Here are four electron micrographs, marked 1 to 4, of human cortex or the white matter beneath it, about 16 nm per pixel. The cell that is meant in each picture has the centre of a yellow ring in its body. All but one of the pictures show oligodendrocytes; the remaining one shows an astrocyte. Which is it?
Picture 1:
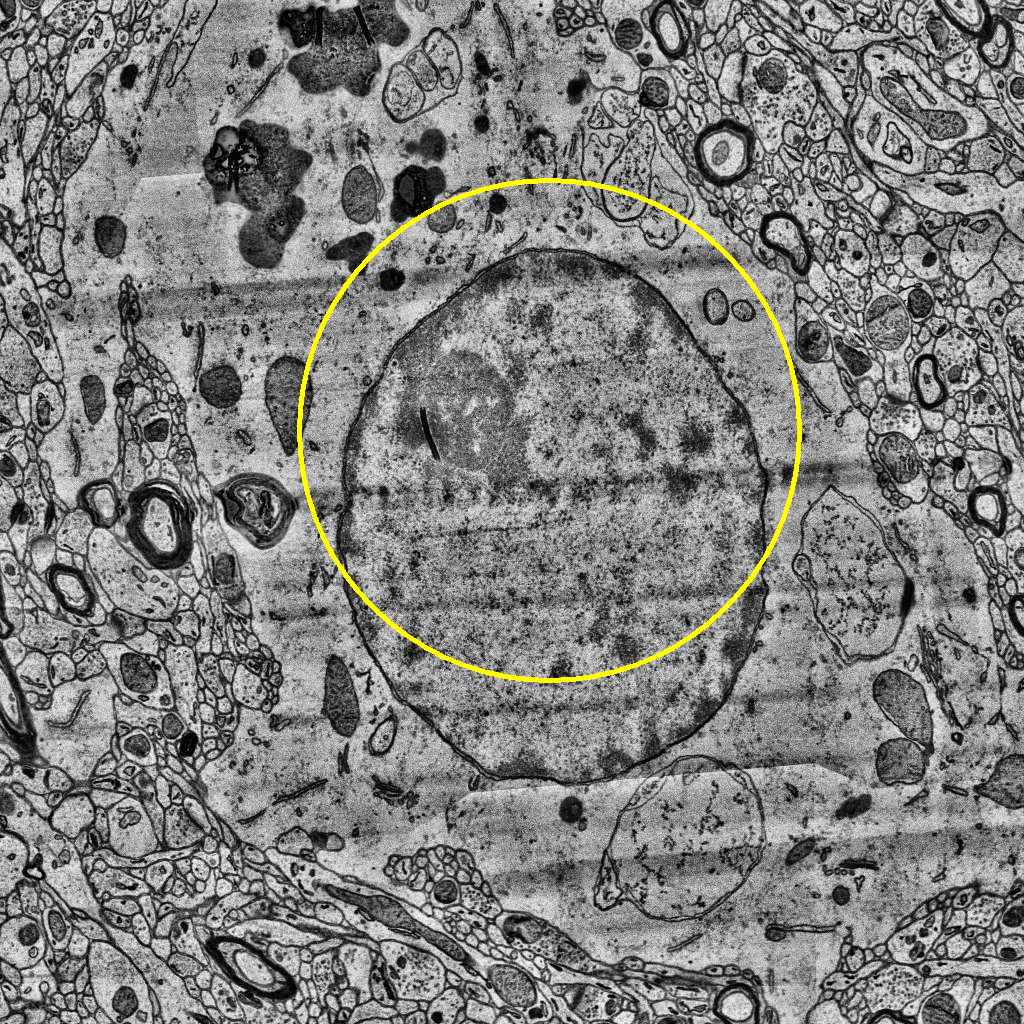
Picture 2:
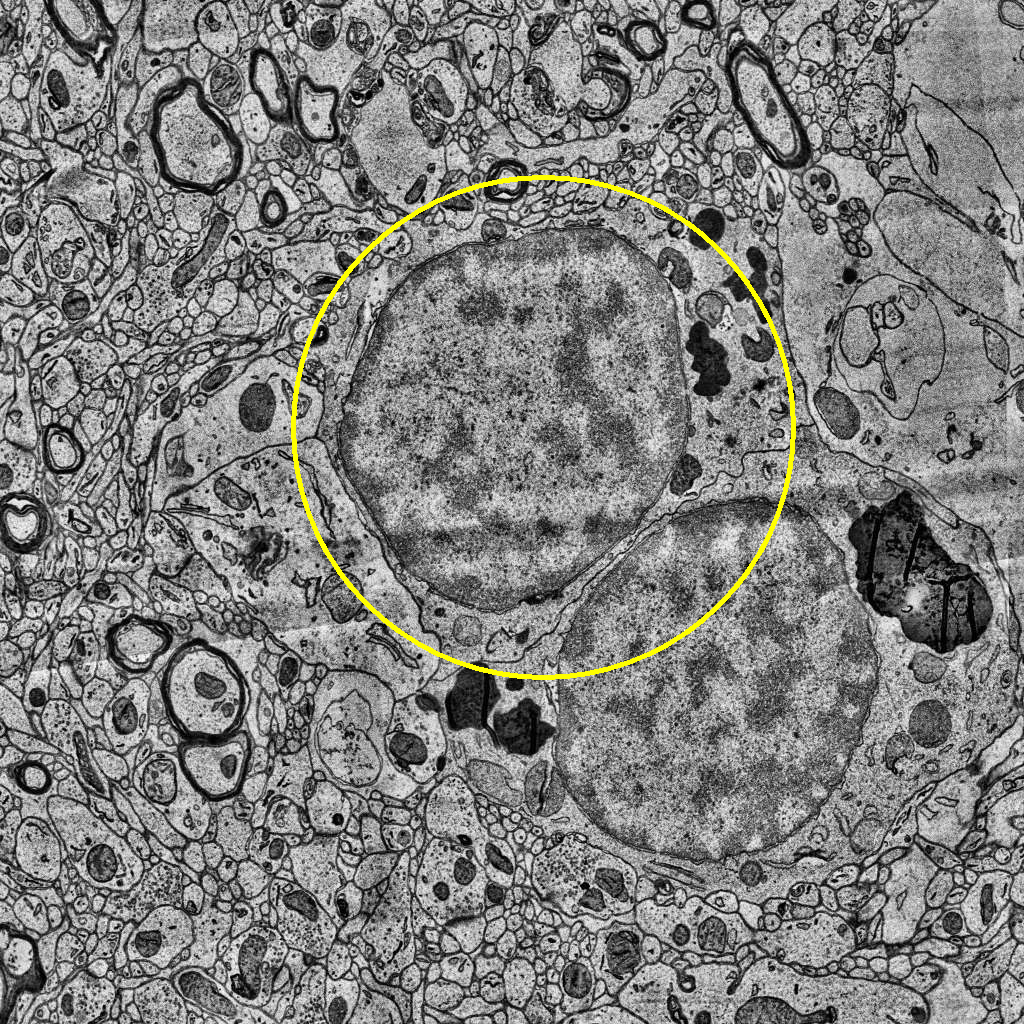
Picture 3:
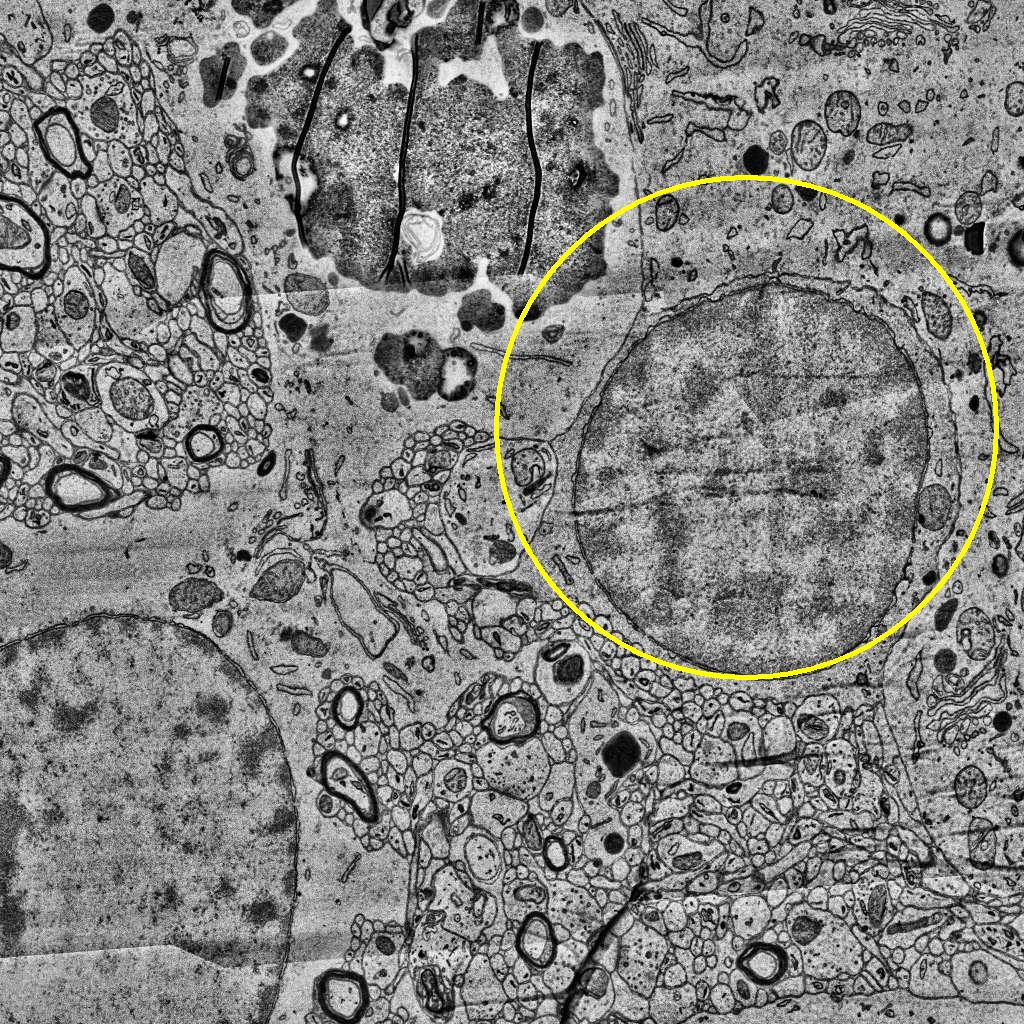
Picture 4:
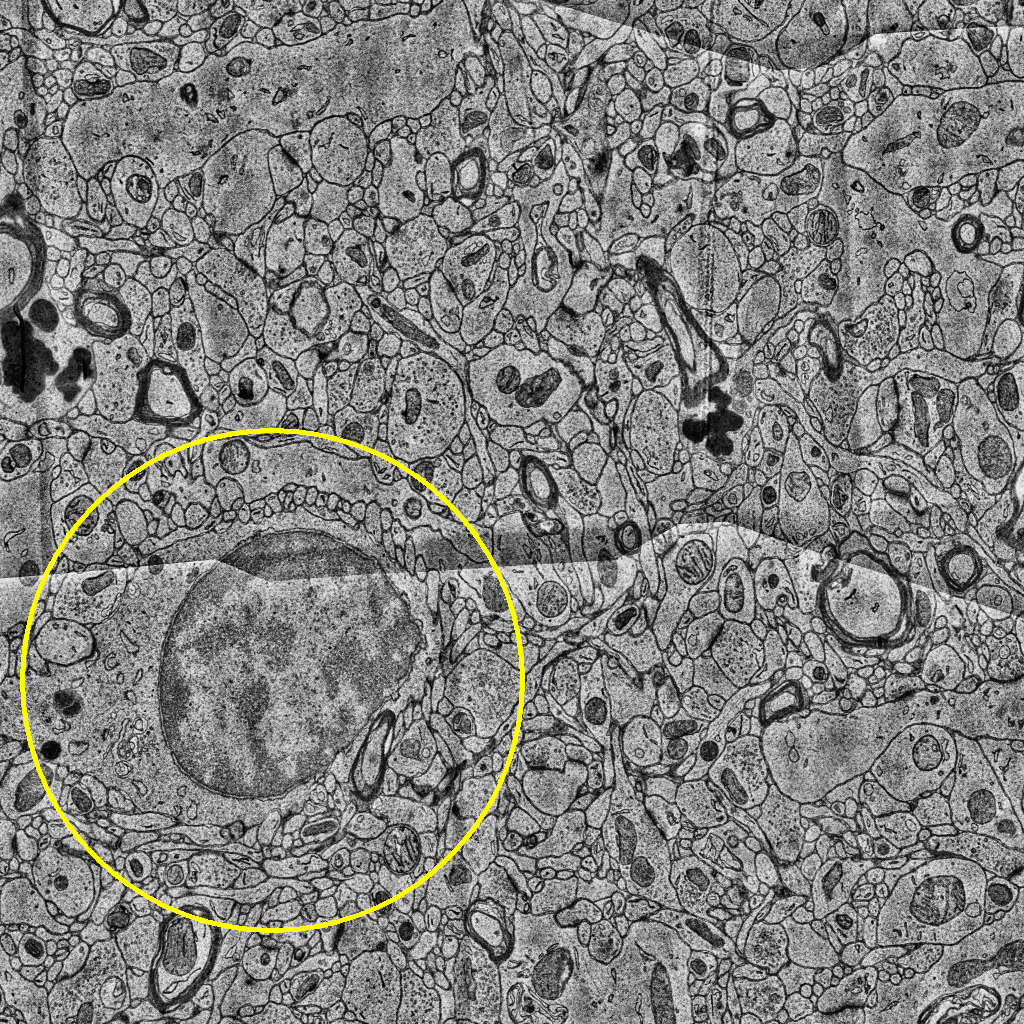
The picture with the astrocyte is 1.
